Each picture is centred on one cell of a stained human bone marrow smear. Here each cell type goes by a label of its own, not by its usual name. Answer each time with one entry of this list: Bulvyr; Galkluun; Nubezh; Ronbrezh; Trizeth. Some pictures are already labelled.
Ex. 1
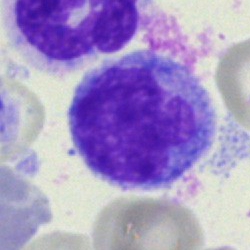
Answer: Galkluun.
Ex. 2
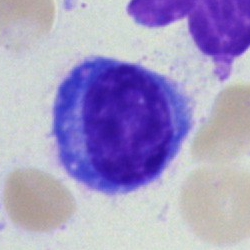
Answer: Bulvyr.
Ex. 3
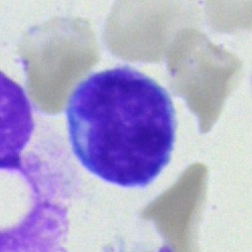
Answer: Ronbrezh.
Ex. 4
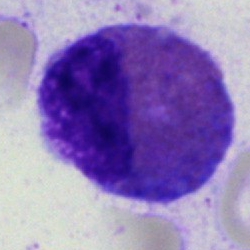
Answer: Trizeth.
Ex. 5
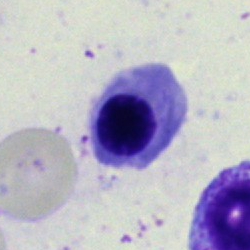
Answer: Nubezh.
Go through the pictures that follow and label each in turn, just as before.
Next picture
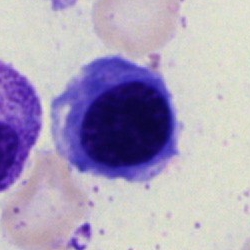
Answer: Nubezh.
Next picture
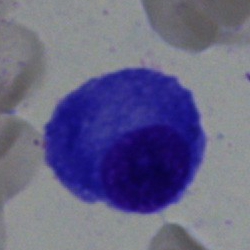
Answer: Bulvyr.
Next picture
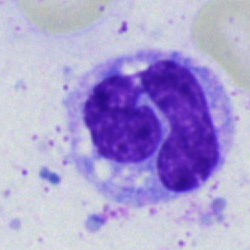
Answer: Galkluun.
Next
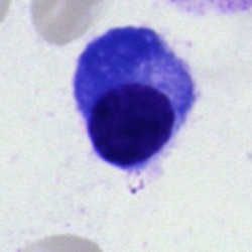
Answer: Bulvyr.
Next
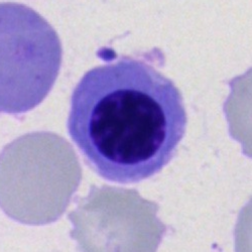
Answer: Nubezh.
